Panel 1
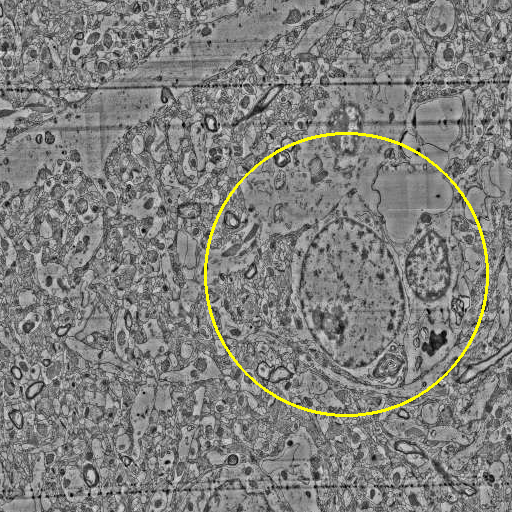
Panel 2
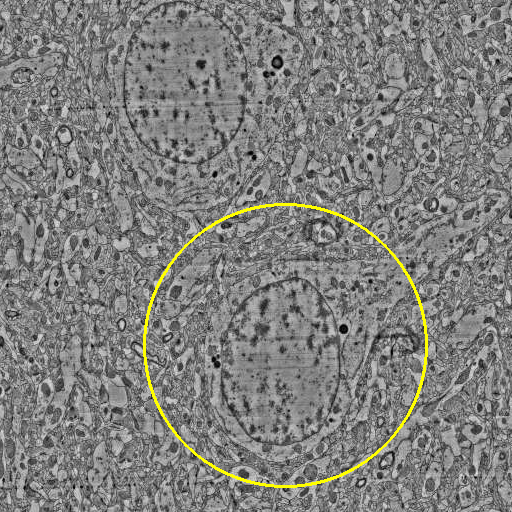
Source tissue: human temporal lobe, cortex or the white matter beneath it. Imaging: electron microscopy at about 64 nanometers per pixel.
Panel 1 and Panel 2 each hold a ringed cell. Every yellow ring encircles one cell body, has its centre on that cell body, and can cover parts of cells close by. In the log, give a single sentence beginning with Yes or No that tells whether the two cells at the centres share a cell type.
No, in Panel 1 and Panel 2 the centred cells are of two cell types.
